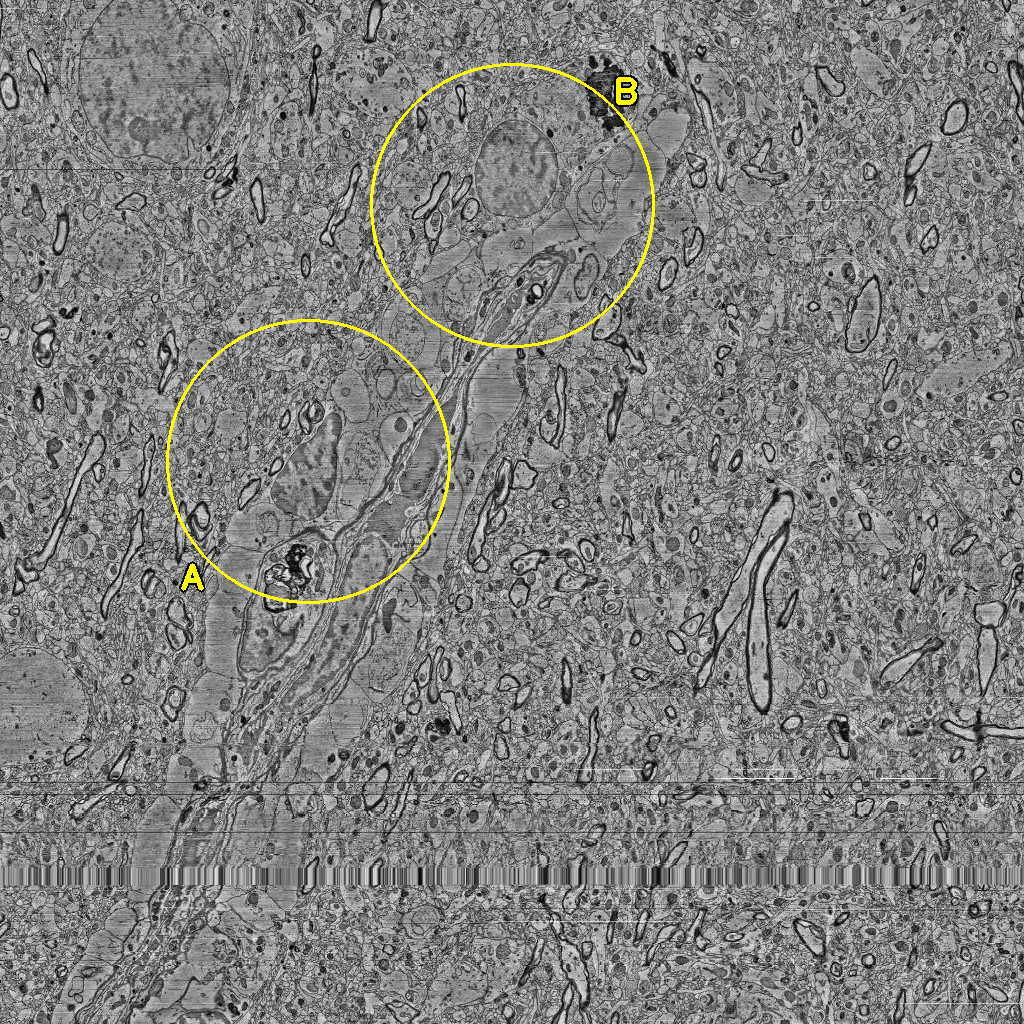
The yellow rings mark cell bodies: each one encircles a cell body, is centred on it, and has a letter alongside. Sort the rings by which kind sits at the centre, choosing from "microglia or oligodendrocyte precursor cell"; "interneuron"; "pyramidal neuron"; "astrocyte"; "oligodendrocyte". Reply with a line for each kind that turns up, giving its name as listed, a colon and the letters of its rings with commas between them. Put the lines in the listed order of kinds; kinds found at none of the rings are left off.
microglia or oligodendrocyte precursor cell: A
oligodendrocyte: B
